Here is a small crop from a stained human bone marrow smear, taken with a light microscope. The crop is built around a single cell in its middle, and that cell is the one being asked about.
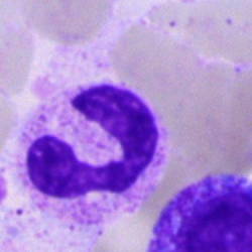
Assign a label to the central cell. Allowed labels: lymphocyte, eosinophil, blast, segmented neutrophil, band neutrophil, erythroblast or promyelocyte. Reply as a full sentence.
Framed in the middle of the crop is a band neutrophil.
